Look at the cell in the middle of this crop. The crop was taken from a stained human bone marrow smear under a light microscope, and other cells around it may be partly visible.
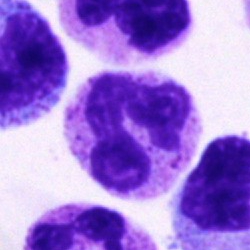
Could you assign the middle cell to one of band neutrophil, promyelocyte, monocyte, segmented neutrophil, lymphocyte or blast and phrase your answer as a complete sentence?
Classification of the middle cell gives a segmented neutrophil.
